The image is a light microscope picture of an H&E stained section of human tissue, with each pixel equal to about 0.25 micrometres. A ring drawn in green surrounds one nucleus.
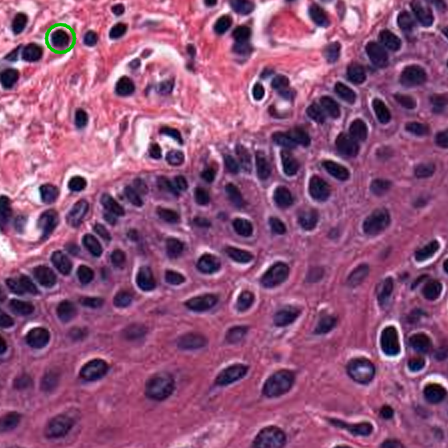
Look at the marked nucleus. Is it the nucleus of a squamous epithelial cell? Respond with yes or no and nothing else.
no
